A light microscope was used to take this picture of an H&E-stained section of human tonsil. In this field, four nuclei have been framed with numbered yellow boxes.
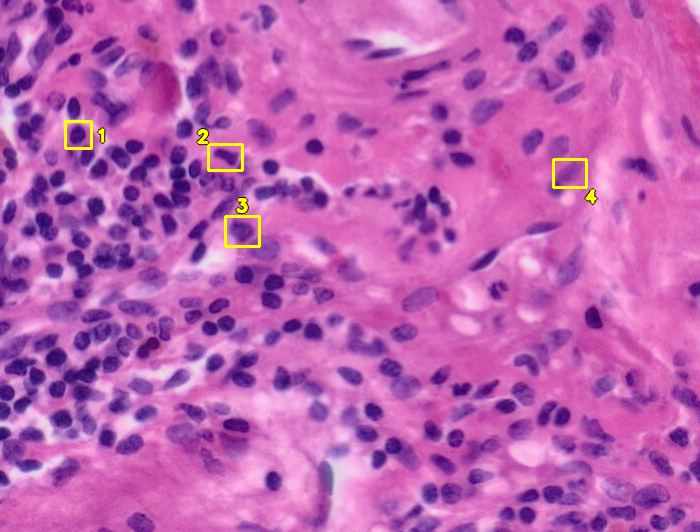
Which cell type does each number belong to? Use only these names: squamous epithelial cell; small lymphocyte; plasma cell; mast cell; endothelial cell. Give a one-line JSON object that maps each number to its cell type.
{"1": "plasma cell", "2": "mast cell", "3": "endothelial cell", "4": "endothelial cell"}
